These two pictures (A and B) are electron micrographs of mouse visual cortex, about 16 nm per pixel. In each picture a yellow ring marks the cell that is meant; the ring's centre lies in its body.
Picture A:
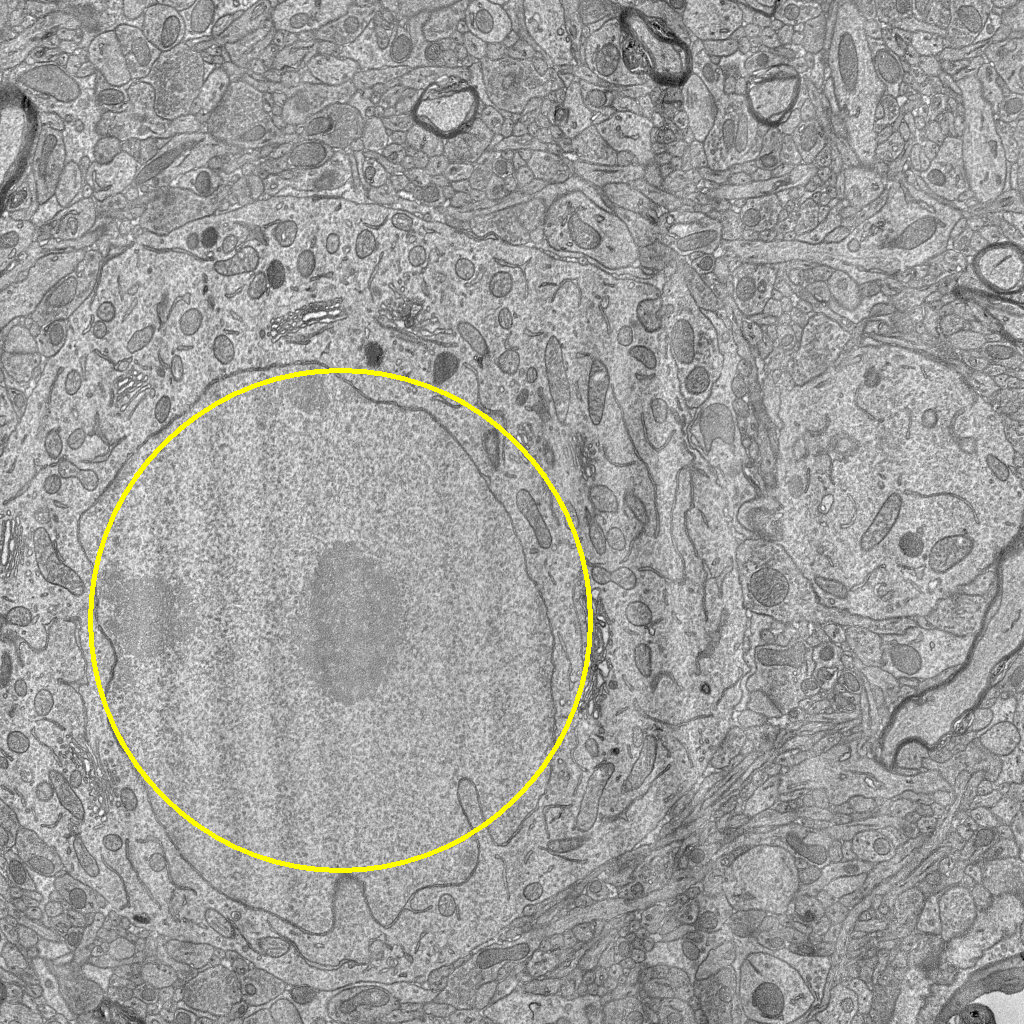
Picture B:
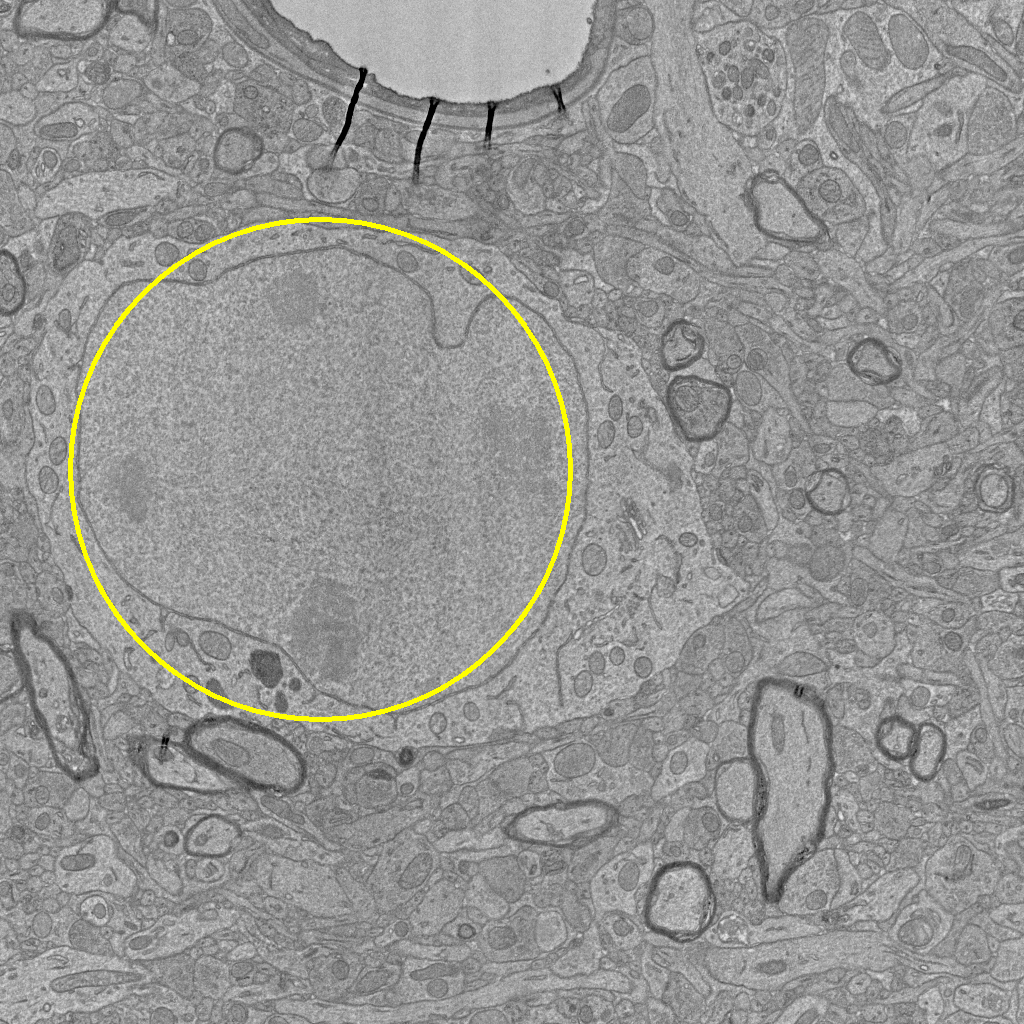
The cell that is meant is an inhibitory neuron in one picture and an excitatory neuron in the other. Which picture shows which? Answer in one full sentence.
Picture B shows an excitatory neuron, while picture A shows an inhibitory neuron.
